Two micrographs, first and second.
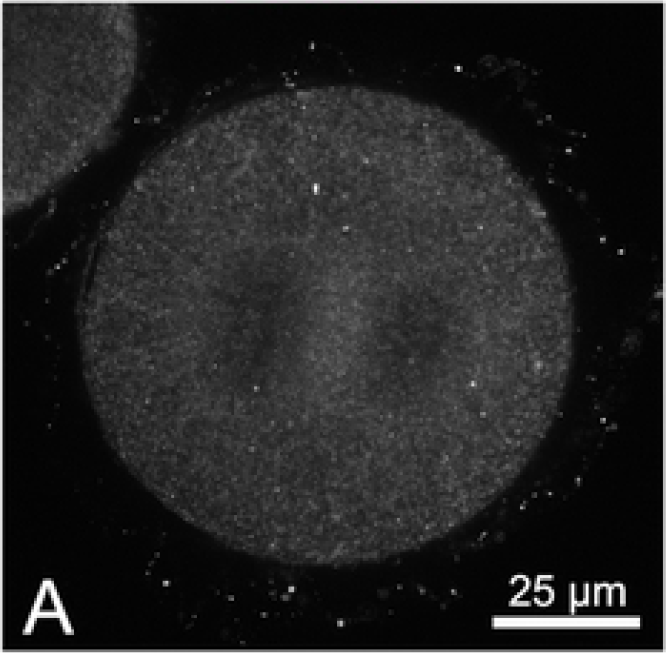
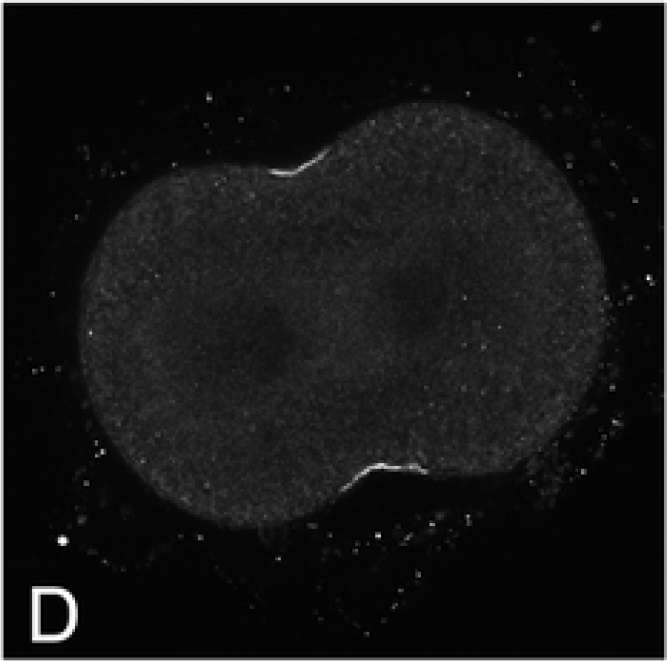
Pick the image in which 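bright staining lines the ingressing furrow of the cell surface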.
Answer: The second image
